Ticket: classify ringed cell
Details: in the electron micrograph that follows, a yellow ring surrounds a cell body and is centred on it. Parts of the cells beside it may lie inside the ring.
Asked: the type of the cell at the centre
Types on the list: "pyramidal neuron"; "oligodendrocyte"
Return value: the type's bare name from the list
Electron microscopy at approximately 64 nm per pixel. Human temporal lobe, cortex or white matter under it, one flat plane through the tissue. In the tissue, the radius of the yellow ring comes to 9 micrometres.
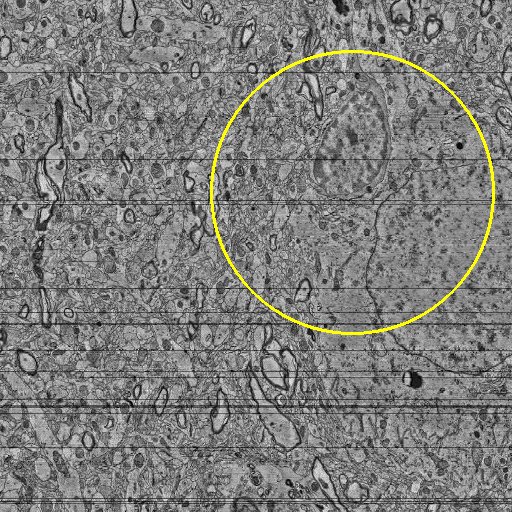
oligodendrocyte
